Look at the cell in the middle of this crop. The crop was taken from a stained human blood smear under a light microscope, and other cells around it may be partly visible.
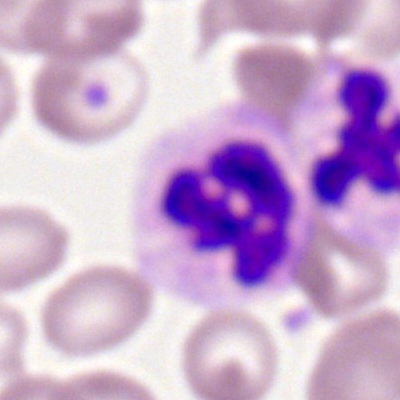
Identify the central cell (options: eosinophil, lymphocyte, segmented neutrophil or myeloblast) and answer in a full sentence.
As for the cell in the middle, it is a segmented neutrophil.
